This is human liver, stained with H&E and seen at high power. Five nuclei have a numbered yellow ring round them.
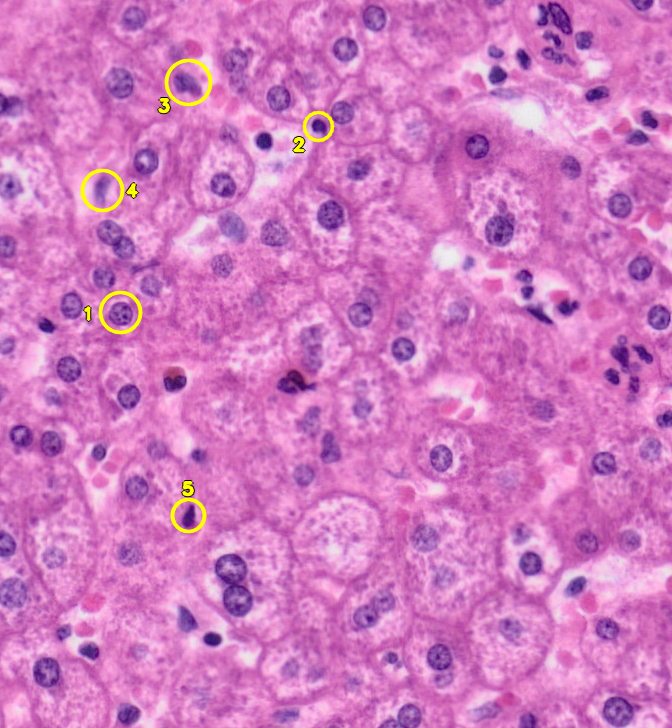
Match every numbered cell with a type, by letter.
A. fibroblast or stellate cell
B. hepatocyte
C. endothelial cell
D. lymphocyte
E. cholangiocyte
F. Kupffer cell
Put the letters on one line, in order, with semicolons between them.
B; A; C; F; A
